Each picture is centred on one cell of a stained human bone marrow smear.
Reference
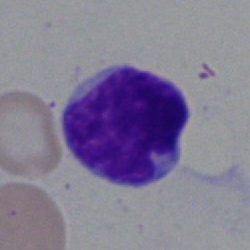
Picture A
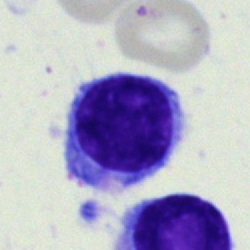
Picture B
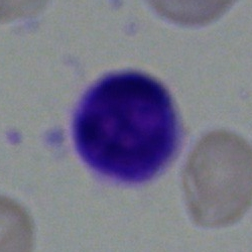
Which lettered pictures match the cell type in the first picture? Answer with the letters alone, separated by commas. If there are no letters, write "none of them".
A, B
